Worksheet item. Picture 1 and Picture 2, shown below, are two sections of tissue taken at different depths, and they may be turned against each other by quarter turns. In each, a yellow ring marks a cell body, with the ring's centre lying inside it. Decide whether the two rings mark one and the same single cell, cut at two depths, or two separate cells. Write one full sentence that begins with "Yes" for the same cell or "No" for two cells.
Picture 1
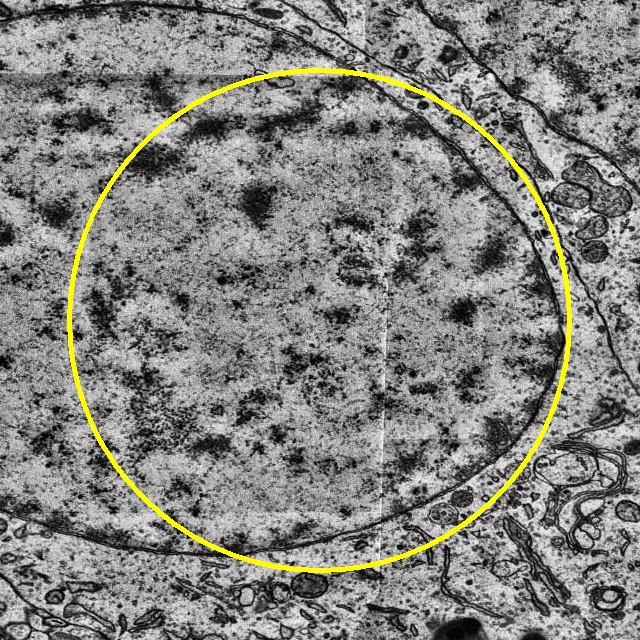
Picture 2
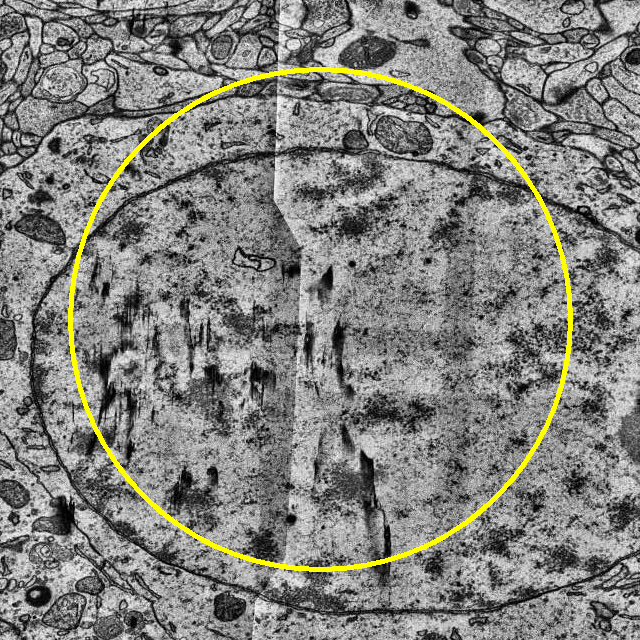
Yes, these two rings point to one cell rather than two.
